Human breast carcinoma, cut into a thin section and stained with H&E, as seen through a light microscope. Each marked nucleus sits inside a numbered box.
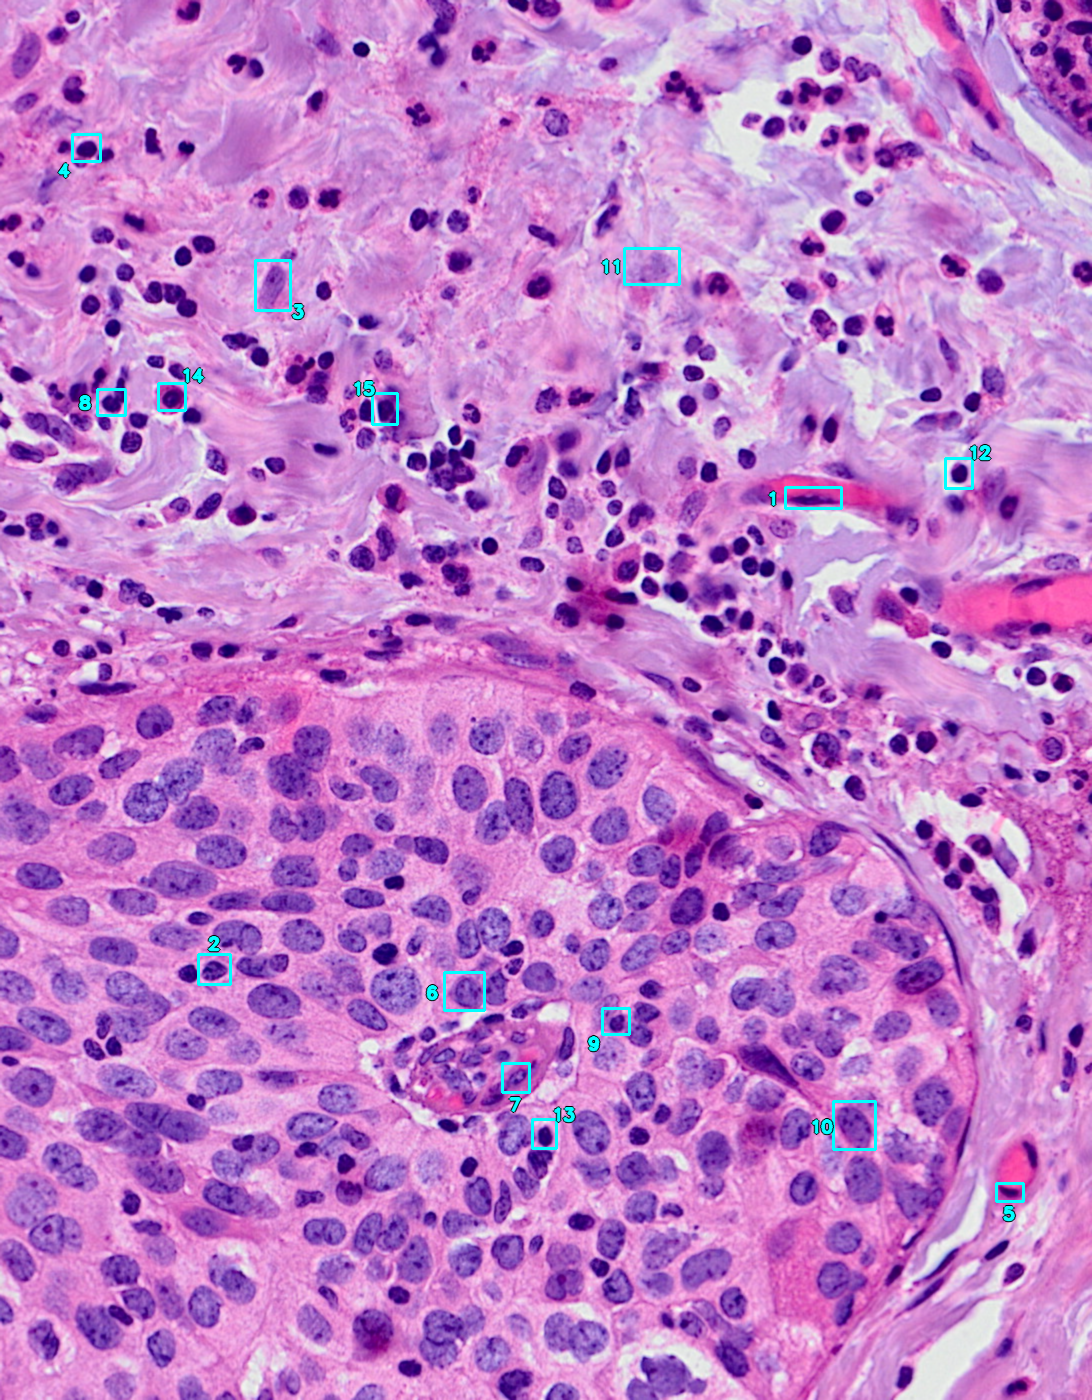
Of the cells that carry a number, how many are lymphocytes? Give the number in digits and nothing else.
7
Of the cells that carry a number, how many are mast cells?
1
